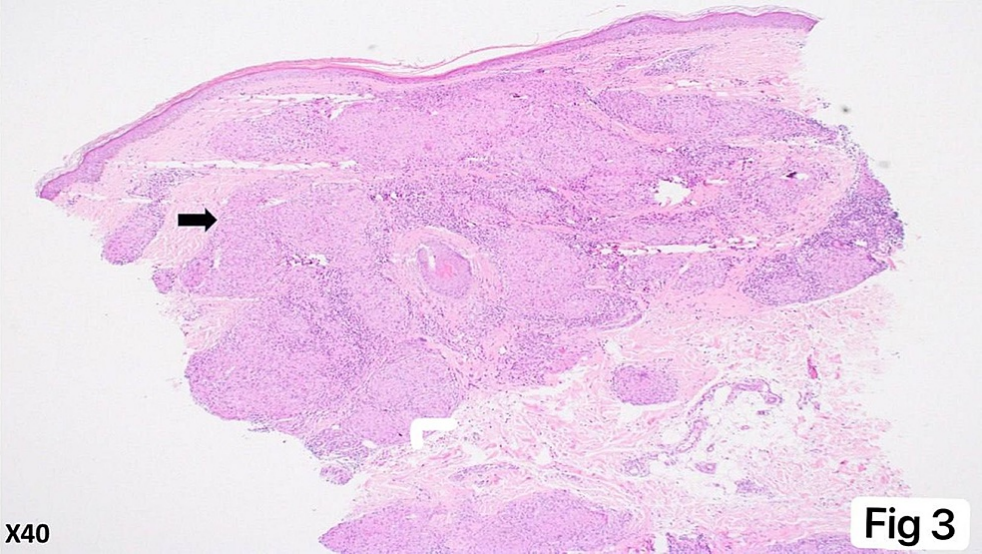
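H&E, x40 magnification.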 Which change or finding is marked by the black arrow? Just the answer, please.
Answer: Nodular infiltrates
